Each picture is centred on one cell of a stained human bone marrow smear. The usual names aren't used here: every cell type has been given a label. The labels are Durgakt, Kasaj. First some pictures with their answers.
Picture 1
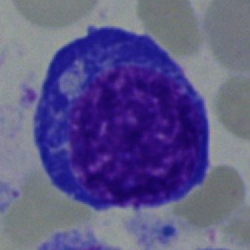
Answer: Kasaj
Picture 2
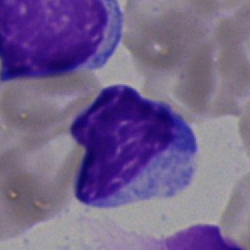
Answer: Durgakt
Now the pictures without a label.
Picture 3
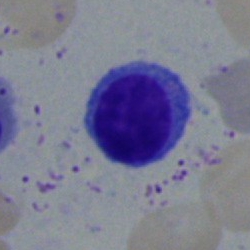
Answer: Durgakt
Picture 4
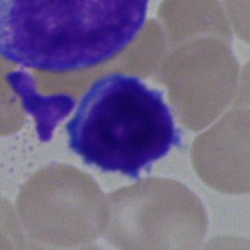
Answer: Durgakt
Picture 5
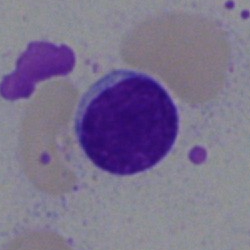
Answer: Durgakt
